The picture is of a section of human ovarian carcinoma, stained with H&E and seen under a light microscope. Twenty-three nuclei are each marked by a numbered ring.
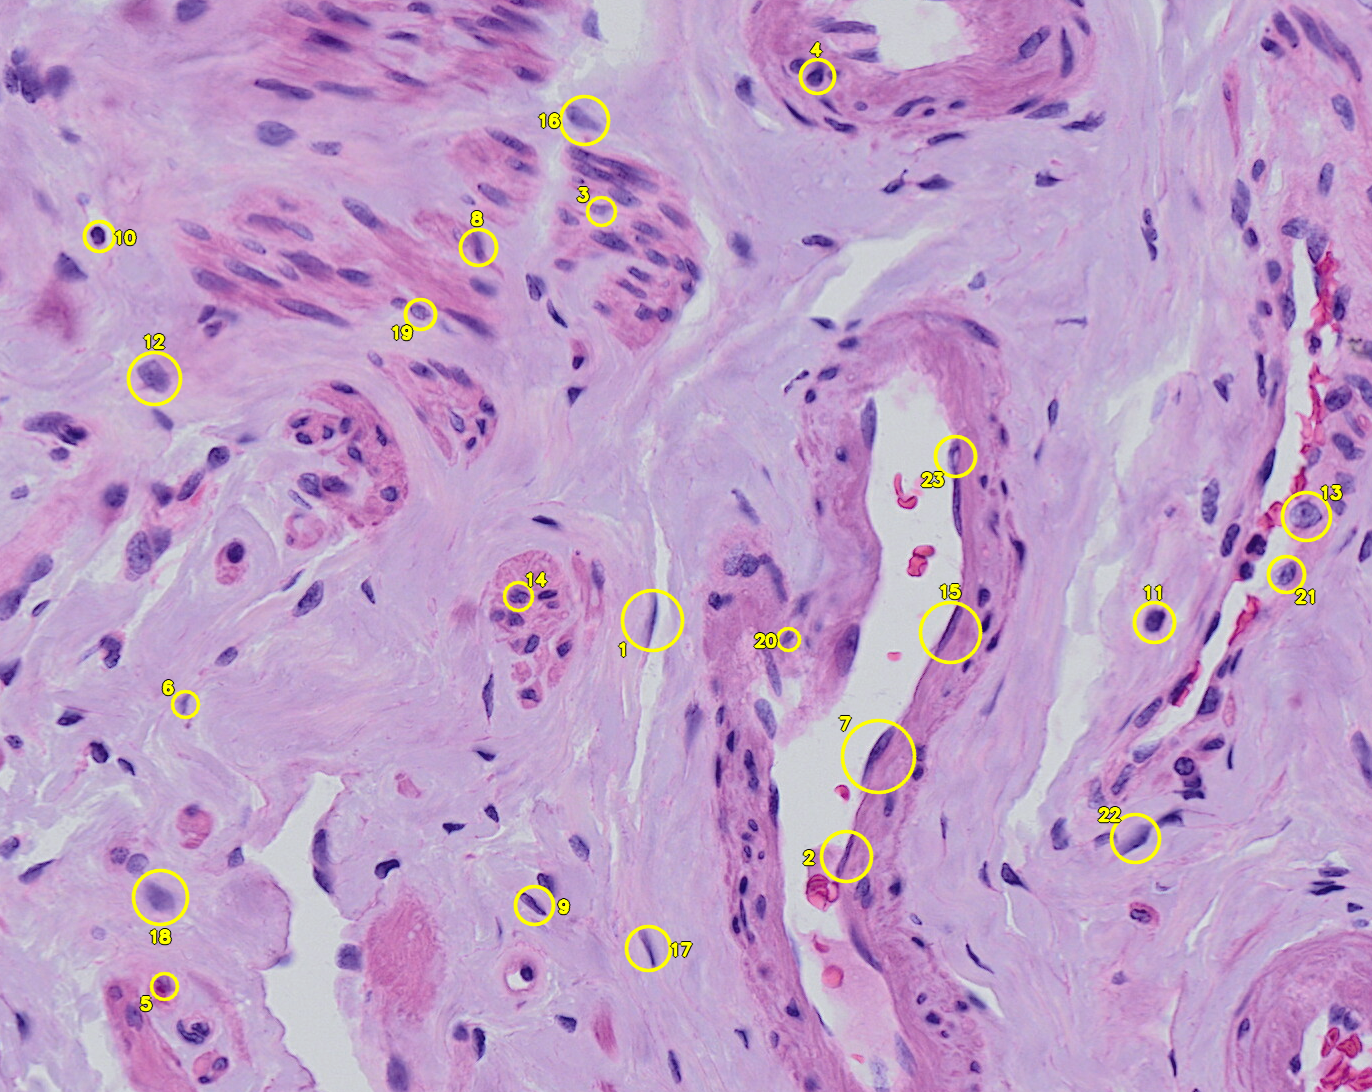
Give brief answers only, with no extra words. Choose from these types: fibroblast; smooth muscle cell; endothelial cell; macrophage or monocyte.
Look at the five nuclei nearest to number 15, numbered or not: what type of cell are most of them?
smooth muscle cell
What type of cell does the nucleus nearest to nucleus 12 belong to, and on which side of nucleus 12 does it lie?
a fibroblast below nucleus 12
